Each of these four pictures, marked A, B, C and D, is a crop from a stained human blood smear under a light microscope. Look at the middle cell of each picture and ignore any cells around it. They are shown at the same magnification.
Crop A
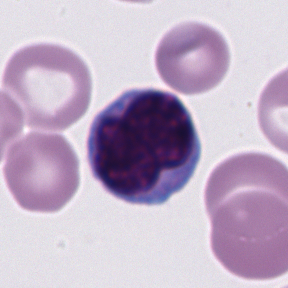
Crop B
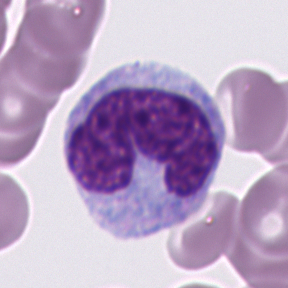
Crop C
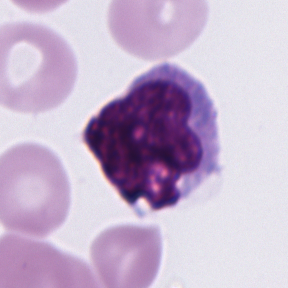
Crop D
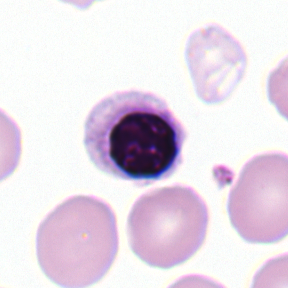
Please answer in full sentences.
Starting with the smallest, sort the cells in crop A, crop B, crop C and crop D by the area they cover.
Smallest first: D, A, C, B.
